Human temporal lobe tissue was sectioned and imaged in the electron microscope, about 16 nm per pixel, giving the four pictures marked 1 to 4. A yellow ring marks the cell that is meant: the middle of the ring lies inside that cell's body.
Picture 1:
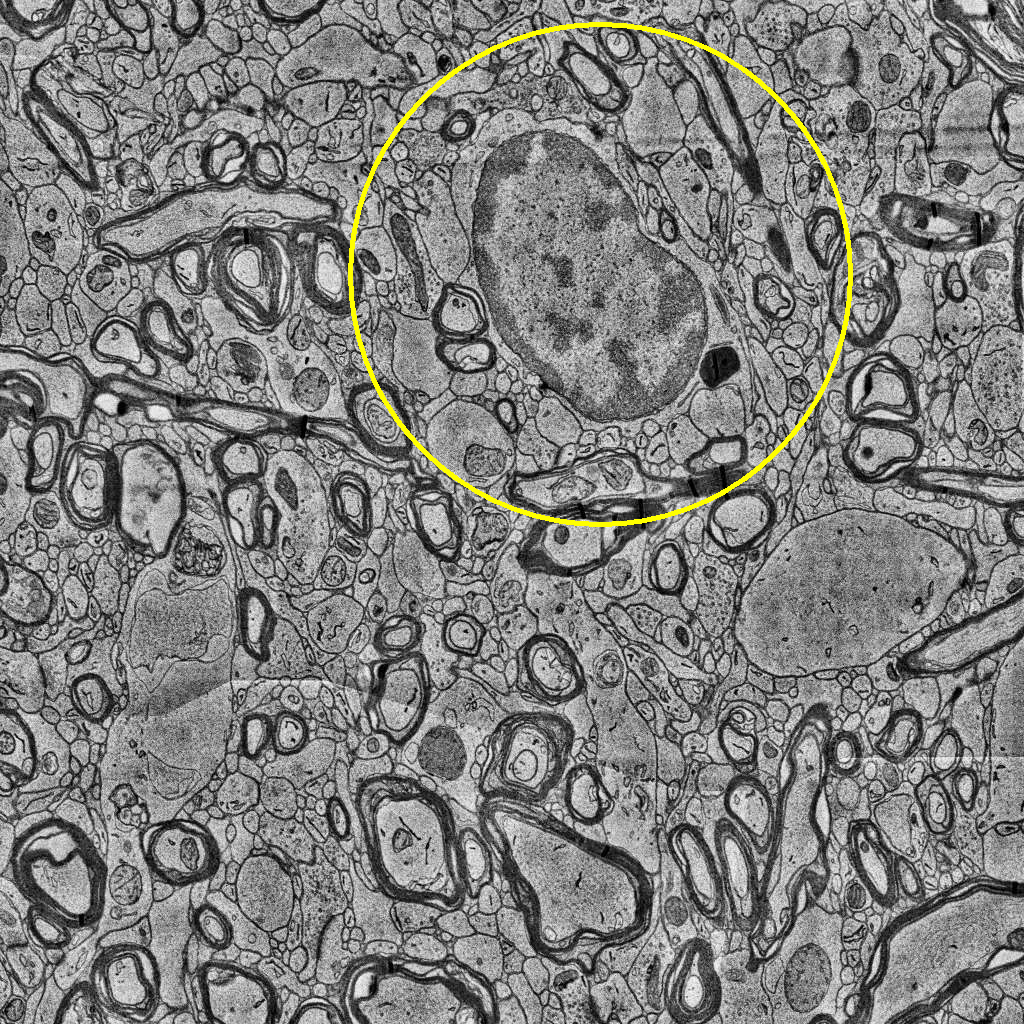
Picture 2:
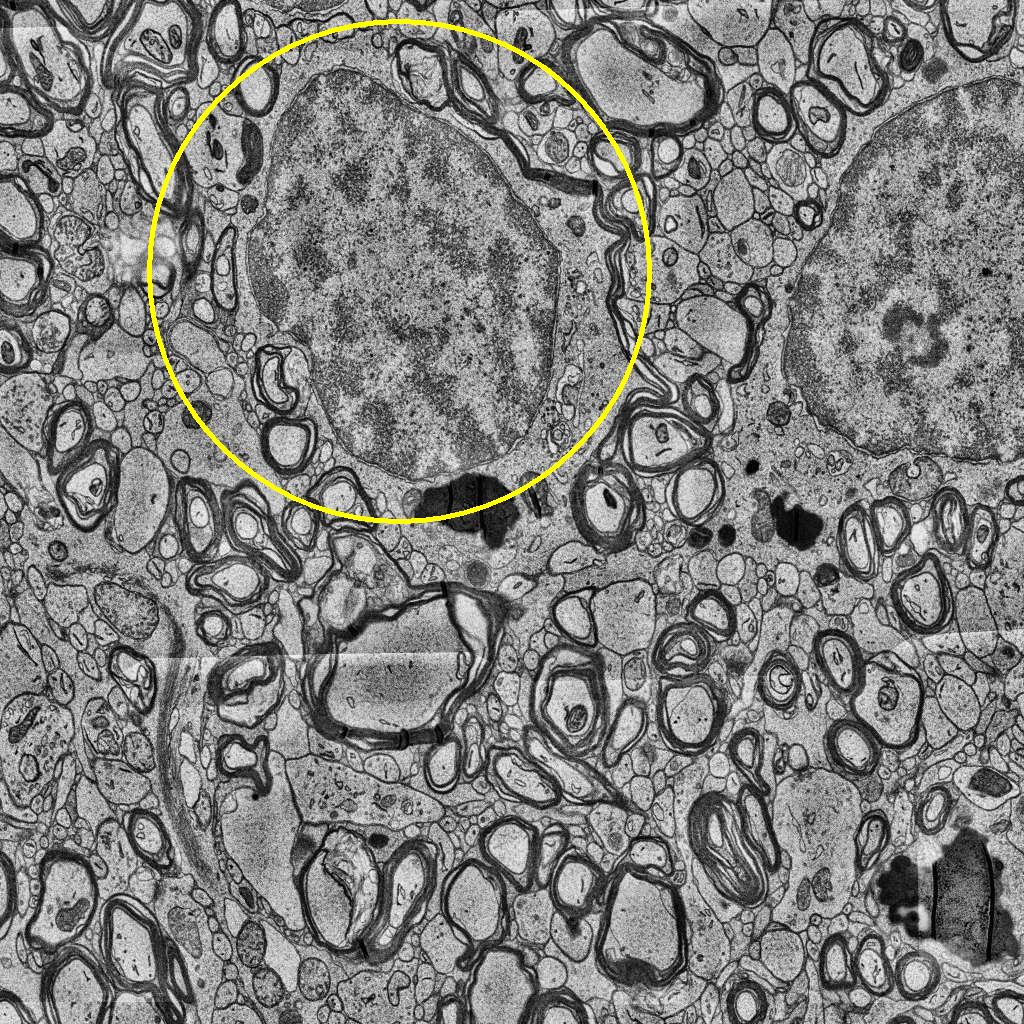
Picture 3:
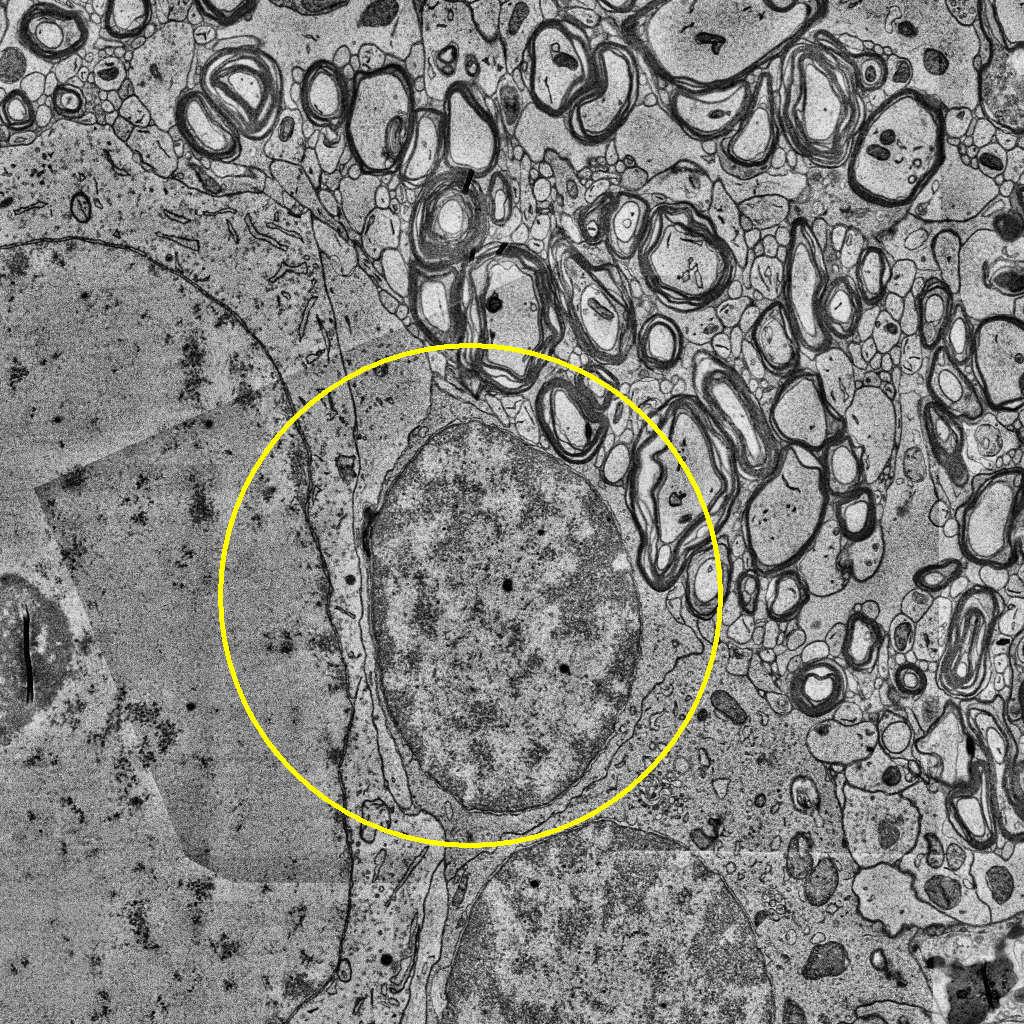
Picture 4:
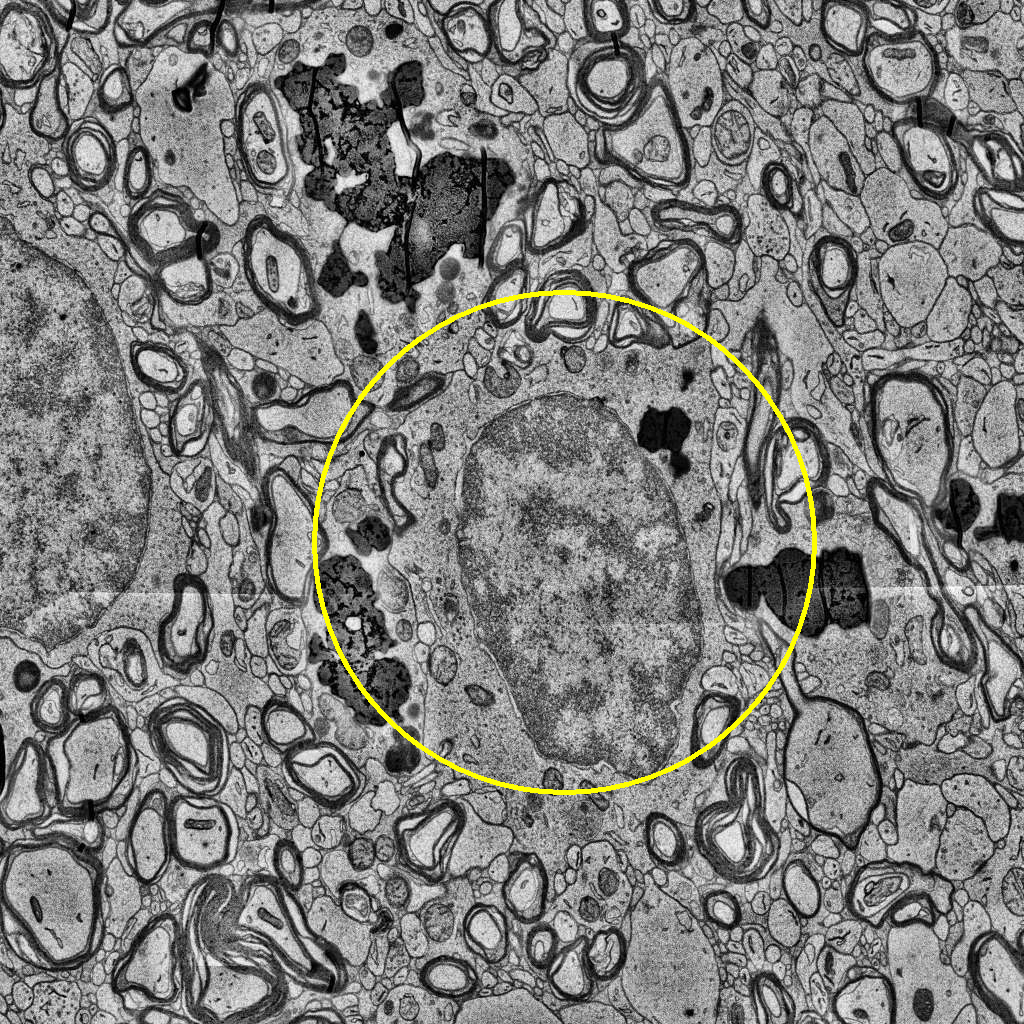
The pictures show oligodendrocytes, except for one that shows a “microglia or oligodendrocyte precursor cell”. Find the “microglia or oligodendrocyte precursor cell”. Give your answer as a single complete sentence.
The picture with the “microglia or oligodendrocyte precursor cell” is 1.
